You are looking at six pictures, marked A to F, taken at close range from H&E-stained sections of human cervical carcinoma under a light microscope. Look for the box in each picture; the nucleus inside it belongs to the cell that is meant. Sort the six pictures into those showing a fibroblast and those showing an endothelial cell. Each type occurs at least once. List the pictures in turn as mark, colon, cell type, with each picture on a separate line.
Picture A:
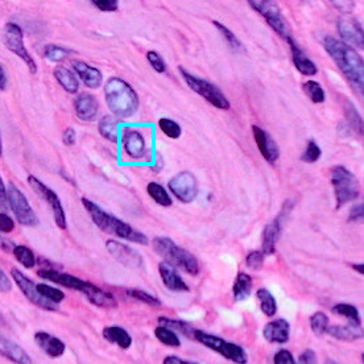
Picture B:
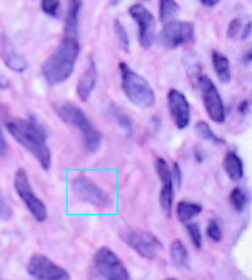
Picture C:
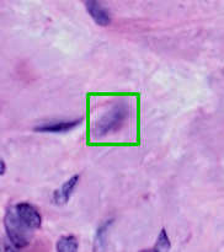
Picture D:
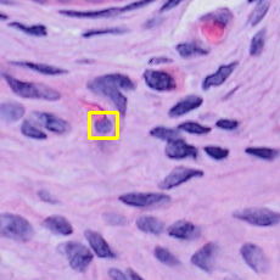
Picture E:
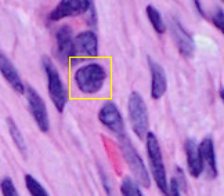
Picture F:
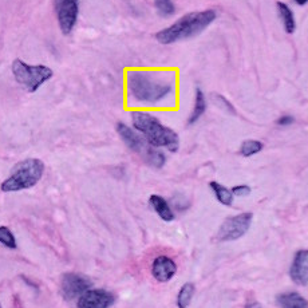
A: endothelial cell
B: fibroblast
C: fibroblast
D: endothelial cell
E: endothelial cell
F: fibroblast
